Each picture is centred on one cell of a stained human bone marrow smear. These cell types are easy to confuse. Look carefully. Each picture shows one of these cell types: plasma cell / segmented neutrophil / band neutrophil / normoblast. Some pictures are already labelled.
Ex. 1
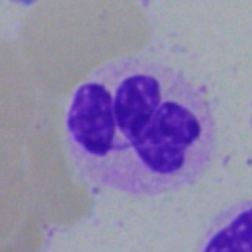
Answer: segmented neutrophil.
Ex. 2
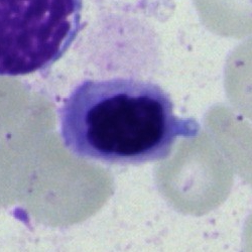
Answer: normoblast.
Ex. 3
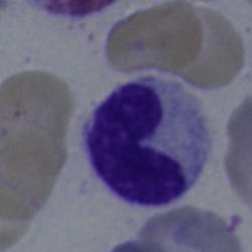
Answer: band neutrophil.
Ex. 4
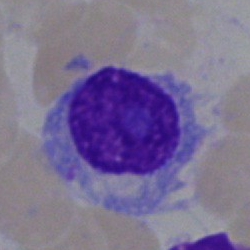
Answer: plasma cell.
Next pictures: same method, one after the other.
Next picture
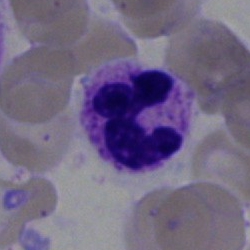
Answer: segmented neutrophil.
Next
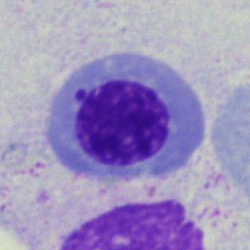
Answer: normoblast.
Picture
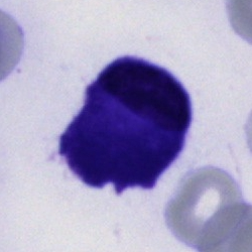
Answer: plasma cell.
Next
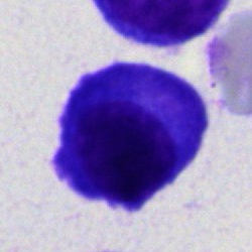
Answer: plasma cell.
